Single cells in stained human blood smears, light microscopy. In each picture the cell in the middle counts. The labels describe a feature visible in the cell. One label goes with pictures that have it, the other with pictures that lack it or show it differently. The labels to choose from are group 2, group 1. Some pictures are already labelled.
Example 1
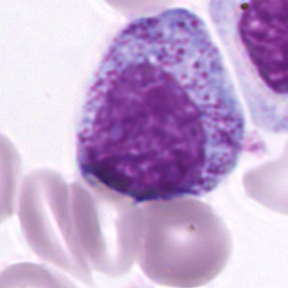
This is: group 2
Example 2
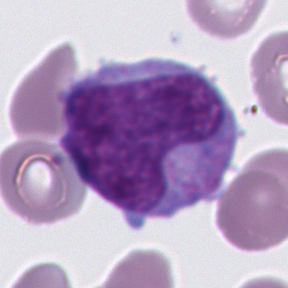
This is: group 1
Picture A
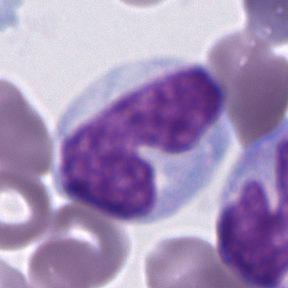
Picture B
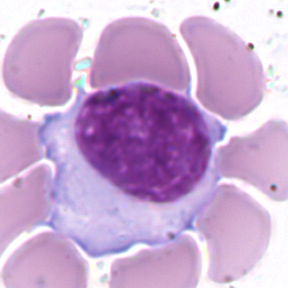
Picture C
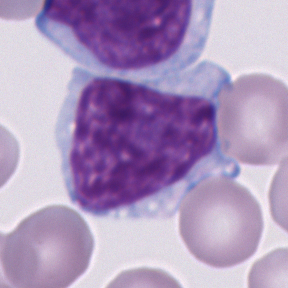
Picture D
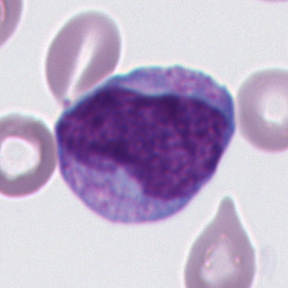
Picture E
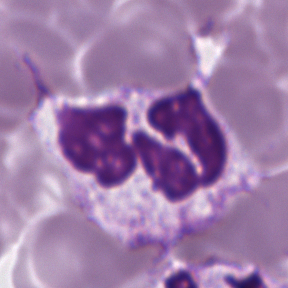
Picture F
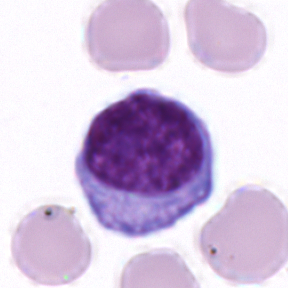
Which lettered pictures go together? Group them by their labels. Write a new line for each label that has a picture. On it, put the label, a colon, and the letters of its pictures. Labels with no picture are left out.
group 2: A, D, F
group 1: B, C, E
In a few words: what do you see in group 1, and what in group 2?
group 1, ragged outline or projections; group 2, smooth outline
